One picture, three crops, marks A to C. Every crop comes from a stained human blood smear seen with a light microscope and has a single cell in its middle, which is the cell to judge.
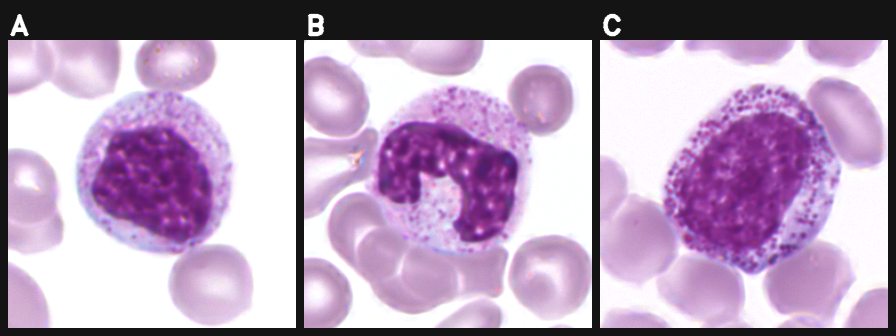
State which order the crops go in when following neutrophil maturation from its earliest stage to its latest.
C, A, B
